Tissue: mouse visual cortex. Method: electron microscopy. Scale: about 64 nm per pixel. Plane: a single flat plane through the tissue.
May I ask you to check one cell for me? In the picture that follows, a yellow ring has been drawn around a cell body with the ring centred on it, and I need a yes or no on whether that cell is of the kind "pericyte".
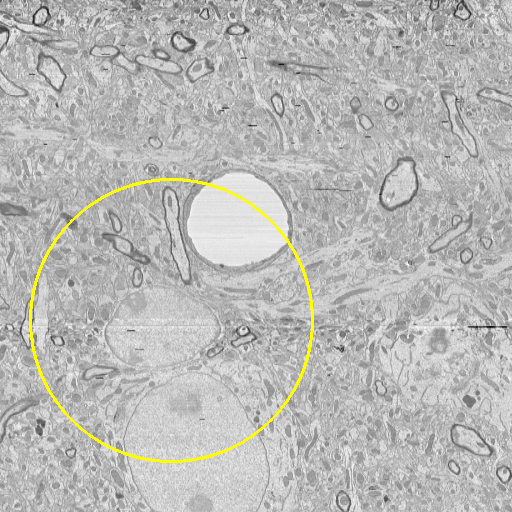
No, it is some other kind of cell.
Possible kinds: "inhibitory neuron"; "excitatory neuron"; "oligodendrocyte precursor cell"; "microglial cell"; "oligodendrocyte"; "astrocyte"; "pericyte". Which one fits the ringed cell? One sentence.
This picture has an astrocyte at the centre of its ring.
